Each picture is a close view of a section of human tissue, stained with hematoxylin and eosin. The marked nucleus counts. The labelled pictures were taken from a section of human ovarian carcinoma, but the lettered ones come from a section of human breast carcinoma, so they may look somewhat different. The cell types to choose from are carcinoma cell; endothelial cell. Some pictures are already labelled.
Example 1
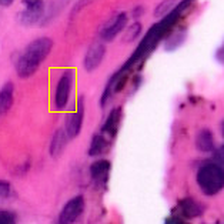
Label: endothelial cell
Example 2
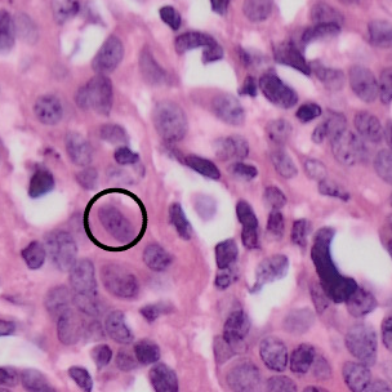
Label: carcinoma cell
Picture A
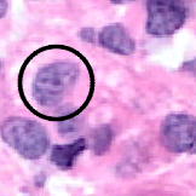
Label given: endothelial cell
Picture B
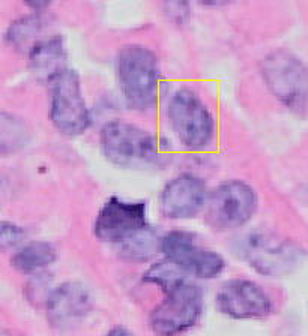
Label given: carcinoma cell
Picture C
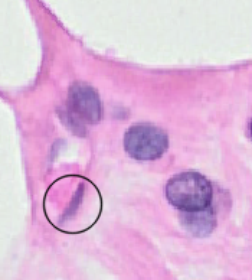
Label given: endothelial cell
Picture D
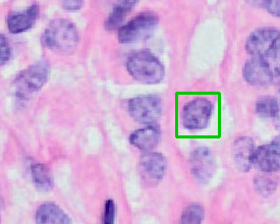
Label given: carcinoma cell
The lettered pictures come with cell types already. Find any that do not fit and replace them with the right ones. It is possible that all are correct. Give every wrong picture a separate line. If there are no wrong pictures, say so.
A: change endothelial cell to carcinoma cell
